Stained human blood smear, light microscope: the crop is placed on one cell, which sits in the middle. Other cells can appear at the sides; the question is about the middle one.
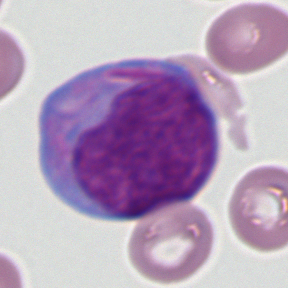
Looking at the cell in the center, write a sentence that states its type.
The cell nearest the centre of this crop is an atypical promyelocyte.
